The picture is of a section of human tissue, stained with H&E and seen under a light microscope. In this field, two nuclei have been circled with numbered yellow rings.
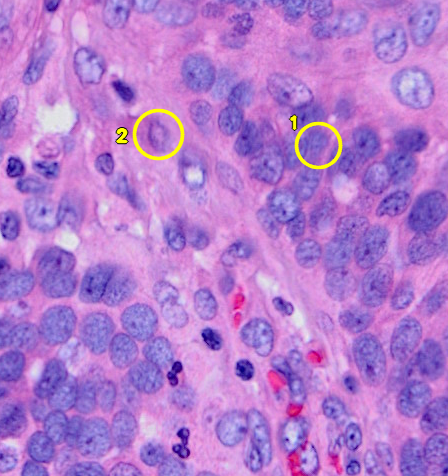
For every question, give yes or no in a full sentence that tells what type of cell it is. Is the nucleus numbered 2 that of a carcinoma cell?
No, cell 2 counts as a fibroblast rather than as a carcinoma cell.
